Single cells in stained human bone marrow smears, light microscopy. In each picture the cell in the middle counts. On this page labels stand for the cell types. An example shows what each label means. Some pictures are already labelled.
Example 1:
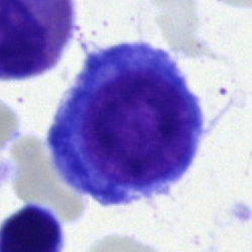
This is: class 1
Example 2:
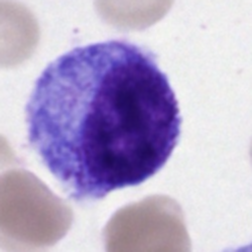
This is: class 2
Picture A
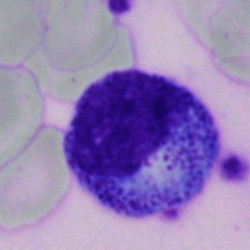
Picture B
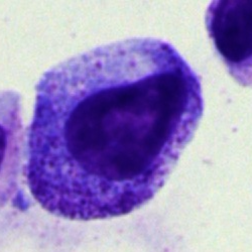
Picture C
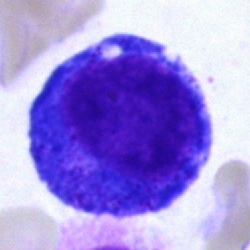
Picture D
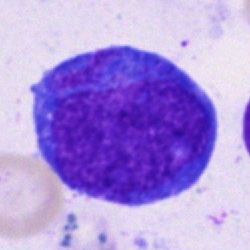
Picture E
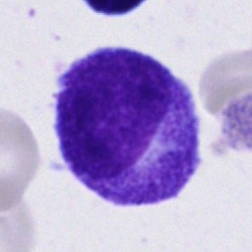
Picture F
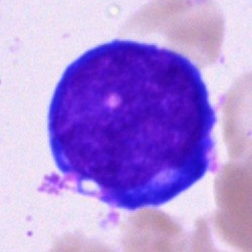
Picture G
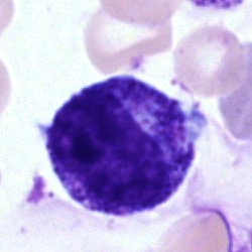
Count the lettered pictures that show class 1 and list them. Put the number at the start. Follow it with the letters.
1, namely F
